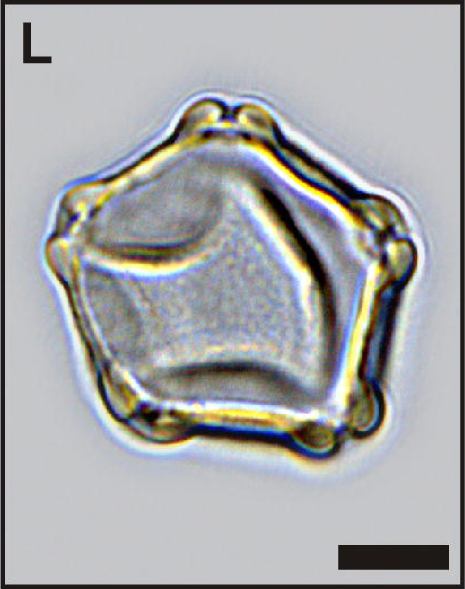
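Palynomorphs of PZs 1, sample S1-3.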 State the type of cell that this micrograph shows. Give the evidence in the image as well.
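The grain has a pentagonal outline in polar view. A pore with a thickened, protruding rim sits at each of the five corners. Curved thickened bands run across the grain between pores. On this evidence: Betulaceae.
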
